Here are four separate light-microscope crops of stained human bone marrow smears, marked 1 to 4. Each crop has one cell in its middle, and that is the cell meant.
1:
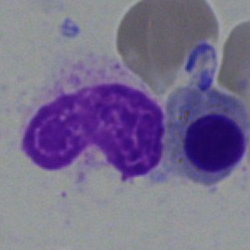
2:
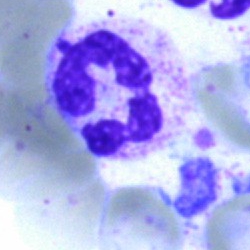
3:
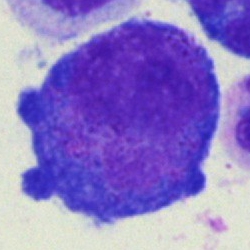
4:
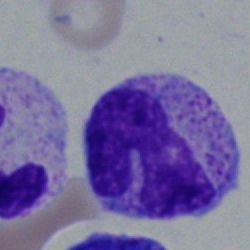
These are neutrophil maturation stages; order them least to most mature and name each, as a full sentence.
From earliest stage to latest stage, the sequence is crop 3 (a promyelocyte), crop 1 (a metamyelocyte), crop 4 (a band neutrophil) and crop 2 (a segmented neutrophil).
